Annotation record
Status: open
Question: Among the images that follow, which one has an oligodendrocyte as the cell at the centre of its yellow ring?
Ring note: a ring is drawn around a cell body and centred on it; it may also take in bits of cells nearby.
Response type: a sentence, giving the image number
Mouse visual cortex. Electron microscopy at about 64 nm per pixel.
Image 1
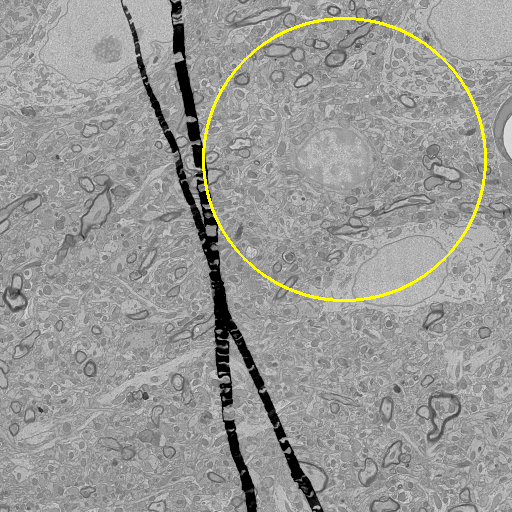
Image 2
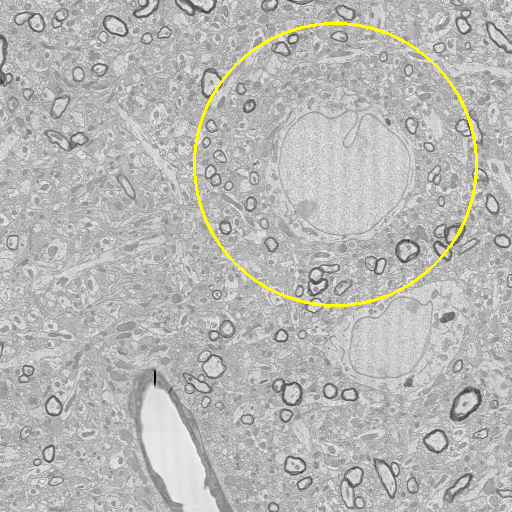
Image 1 shows it at the centre of its ring.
